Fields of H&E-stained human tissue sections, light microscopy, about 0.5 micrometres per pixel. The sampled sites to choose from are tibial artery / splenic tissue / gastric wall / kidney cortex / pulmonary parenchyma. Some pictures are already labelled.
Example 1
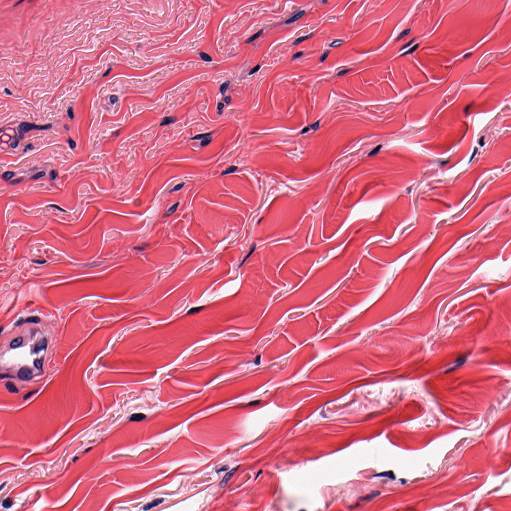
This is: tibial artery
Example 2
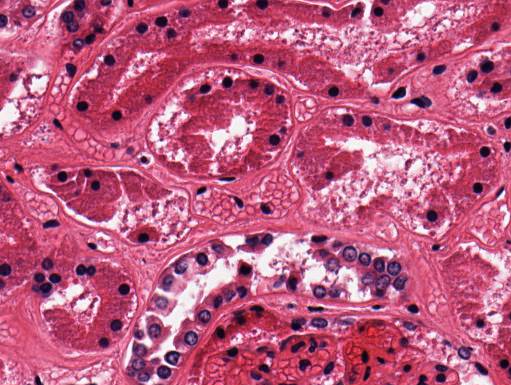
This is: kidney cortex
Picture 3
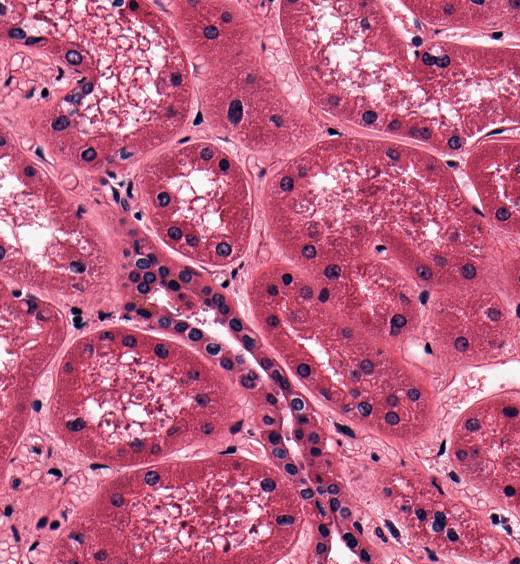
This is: kidney cortex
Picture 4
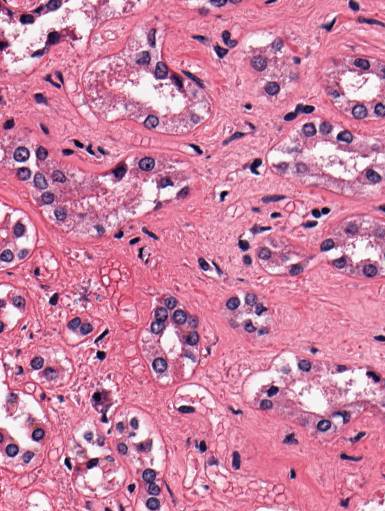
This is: kidney cortex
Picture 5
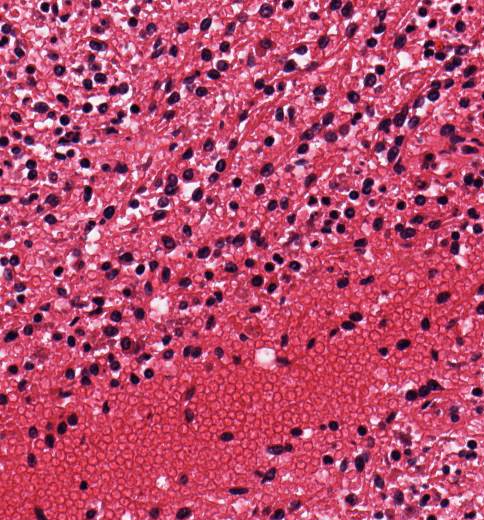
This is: splenic tissue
